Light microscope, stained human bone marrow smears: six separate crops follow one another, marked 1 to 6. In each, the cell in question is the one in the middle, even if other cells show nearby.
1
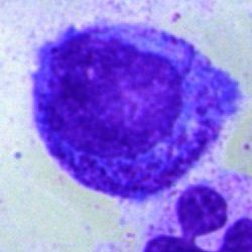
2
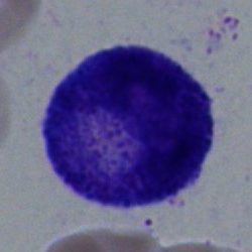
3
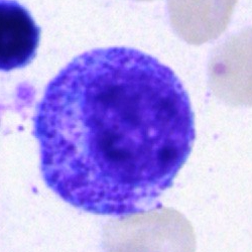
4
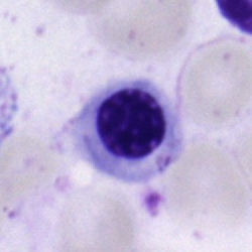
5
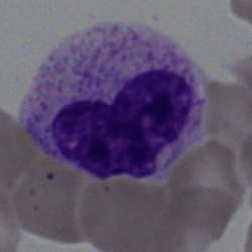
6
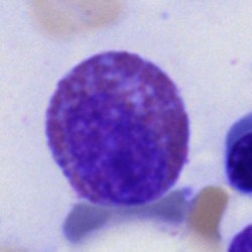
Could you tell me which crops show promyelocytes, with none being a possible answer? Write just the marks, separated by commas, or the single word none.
1, 2, 3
